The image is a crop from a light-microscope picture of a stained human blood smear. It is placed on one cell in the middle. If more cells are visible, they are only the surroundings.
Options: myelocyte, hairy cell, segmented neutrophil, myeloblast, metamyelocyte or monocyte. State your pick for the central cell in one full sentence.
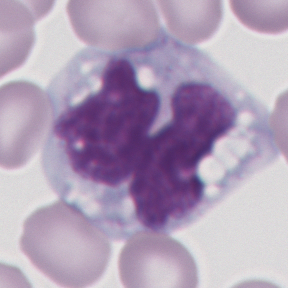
The centrally positioned cell in the crop represents a monocyte.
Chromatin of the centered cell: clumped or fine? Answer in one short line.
Coarse clumps are absent, and the chromatin is fine throughout.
